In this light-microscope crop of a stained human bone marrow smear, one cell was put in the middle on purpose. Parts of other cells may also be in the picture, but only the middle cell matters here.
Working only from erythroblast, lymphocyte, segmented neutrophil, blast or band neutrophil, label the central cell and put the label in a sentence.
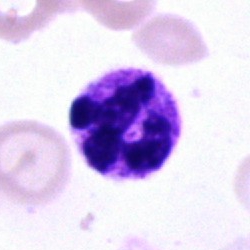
Regarding the central cell, it is a segmented neutrophil.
